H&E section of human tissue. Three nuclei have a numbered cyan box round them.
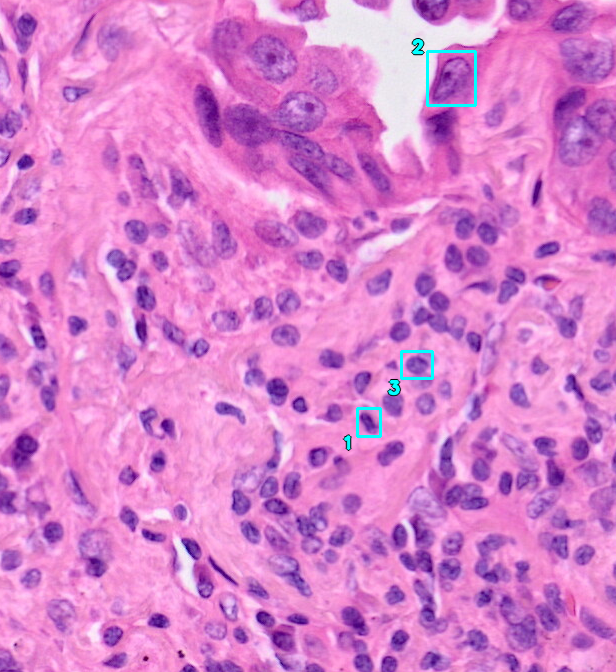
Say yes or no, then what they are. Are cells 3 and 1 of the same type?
Yes, regarding cells 3 and 1, both are lymphocytes.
